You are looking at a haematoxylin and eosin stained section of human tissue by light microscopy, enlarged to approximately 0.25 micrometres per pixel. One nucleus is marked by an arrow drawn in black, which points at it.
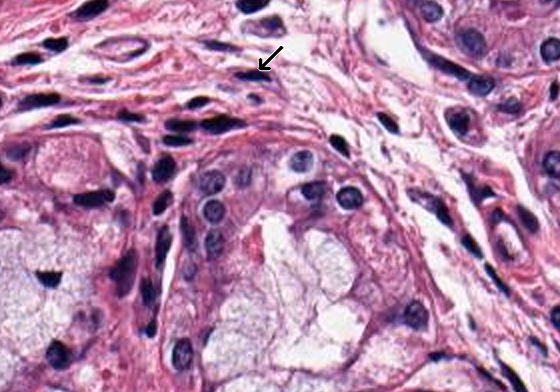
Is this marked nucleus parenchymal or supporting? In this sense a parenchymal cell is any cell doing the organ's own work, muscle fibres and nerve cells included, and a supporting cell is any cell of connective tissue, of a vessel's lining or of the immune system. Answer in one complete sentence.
It is a supporting cell that holds the marked nucleus.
